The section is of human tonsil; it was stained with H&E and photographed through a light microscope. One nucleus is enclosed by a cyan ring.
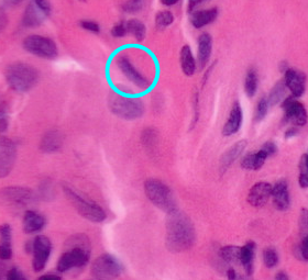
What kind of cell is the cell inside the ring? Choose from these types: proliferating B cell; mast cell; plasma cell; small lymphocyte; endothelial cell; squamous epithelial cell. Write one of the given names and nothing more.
endothelial cell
